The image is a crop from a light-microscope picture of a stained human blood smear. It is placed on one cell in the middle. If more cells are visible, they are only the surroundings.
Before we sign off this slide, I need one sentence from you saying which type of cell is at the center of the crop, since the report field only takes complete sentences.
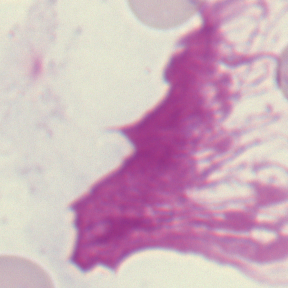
Seen at the centre of the crop is a smudge cell.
